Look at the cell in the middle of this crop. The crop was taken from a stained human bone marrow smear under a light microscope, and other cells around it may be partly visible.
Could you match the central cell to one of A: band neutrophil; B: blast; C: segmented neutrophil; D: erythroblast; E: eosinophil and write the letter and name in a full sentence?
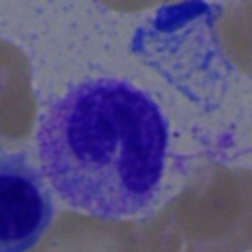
That middle cell is a band neutrophil, and option A is therefore correct.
